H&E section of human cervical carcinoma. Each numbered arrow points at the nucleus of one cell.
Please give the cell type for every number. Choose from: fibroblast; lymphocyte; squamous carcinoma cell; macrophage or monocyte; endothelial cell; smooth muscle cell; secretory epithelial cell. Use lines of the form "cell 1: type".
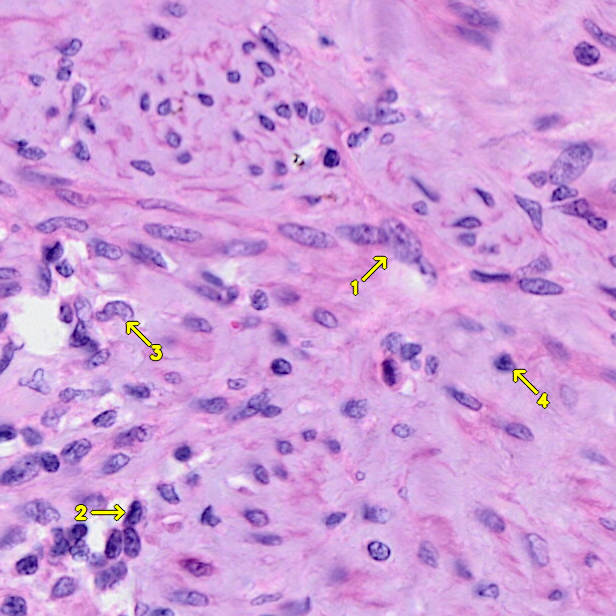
cell 1: endothelial cell
cell 2: lymphocyte
cell 3: macrophage or monocyte
cell 4: lymphocyte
